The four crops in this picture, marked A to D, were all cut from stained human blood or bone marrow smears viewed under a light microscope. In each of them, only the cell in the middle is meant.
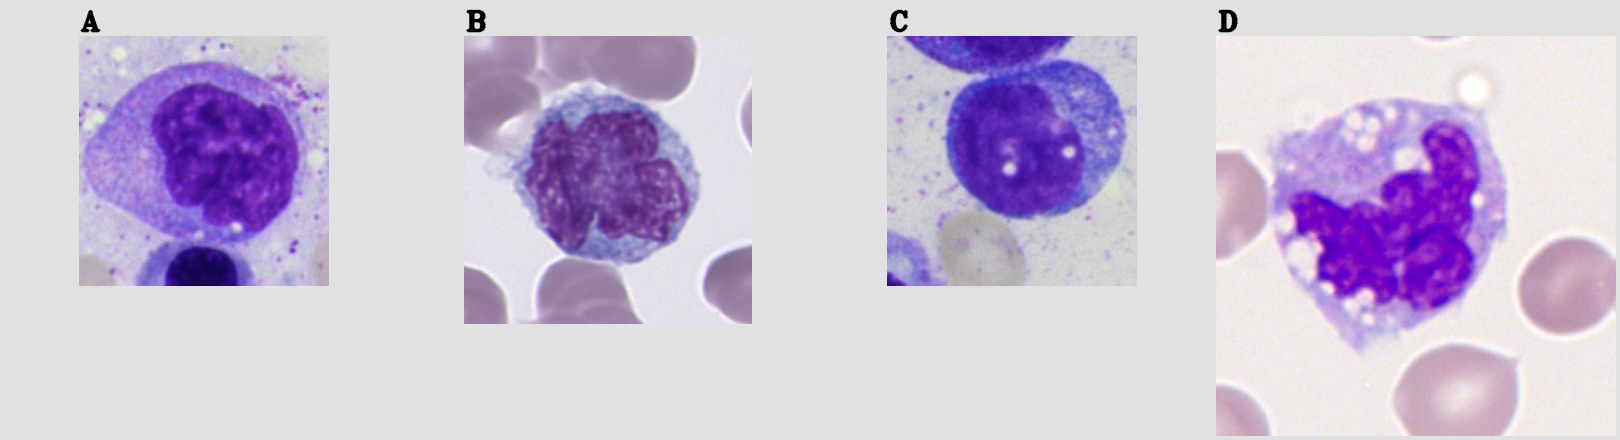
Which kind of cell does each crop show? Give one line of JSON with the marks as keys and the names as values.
{"A": "monocyte", "B": "monocyte", "C": "blast", "D": "monocyte"}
